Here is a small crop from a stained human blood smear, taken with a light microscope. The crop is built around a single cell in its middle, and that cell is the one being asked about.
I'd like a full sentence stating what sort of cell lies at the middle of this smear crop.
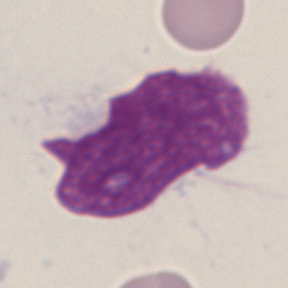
Here the cell in the middle is a smudge cell.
